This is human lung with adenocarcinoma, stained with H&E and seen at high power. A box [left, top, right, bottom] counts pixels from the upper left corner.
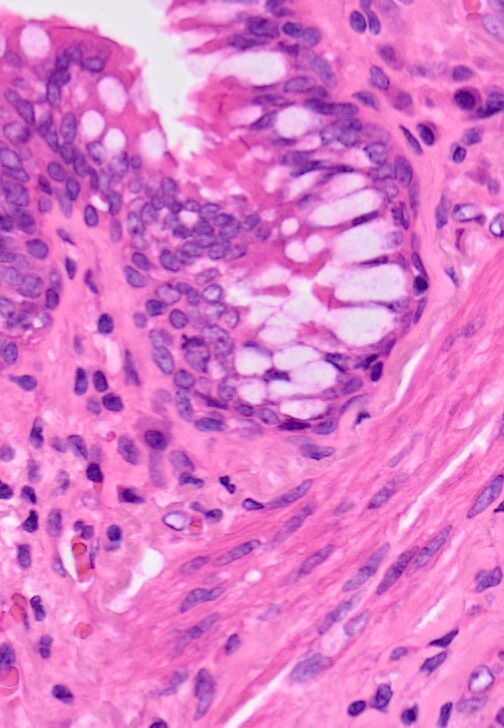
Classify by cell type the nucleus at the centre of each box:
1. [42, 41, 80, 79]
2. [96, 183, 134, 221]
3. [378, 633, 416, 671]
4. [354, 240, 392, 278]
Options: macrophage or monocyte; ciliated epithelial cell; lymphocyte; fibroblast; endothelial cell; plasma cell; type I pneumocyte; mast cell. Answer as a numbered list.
1. ciliated epithelial cell
2. ciliated epithelial cell
3. mast cell
4. ciliated epithelial cell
